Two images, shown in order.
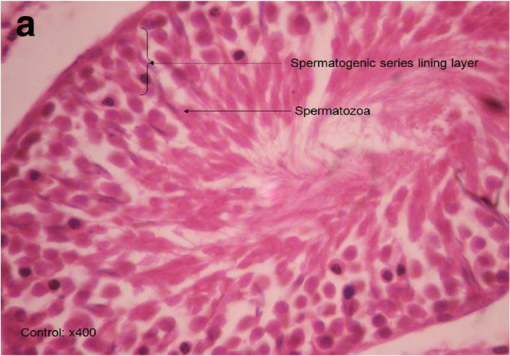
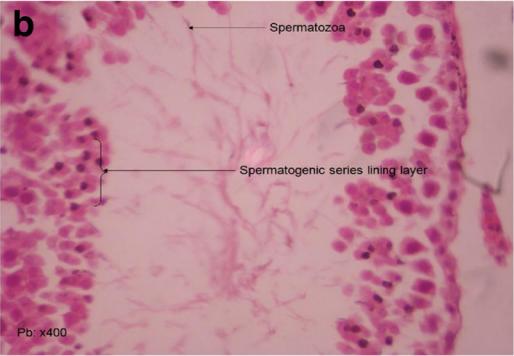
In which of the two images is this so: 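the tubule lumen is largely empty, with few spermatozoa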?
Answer: The second image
